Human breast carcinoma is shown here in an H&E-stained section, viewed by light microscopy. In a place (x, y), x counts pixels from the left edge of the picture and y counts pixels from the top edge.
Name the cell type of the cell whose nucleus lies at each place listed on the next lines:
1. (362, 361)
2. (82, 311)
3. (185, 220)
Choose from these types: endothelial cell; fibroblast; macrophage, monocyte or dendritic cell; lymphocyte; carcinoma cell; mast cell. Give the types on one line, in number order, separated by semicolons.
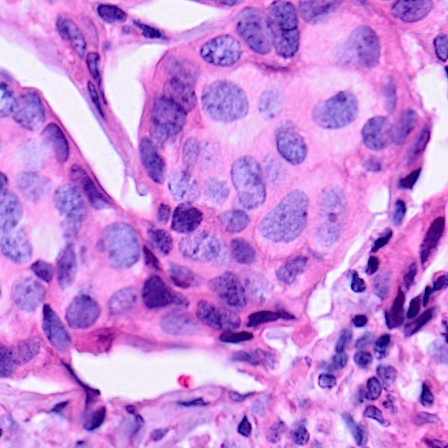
lymphocyte; carcinoma cell; carcinoma cell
